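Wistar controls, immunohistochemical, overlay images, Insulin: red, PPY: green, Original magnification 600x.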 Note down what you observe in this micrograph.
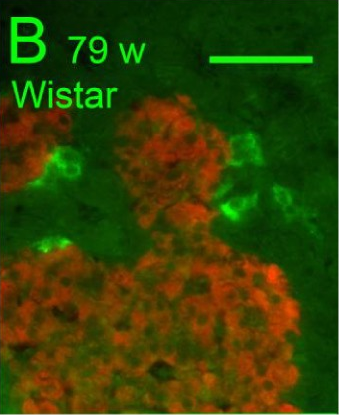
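This shows parts of pancreatic islets: large clusters of polygonal endocrine cells whose cytoplasm is labelled red, each with a dark round unlabelled nucleus, packed closely in a cobblestone arrangement. Two or more islet profiles are separated by a band of unlabelled tissue. In this gap and at the edges of the islets lie several isolated, brightly green cells of irregular, somewhat angular shape, distinct from the red cells. The background tissue outside the islets is diffusely dull green.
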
